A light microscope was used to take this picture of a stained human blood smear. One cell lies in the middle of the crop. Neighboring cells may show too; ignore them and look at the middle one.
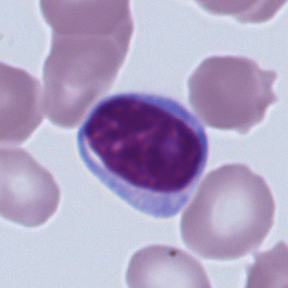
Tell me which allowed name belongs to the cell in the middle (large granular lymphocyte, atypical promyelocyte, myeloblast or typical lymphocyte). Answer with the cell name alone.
typical lymphocyte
